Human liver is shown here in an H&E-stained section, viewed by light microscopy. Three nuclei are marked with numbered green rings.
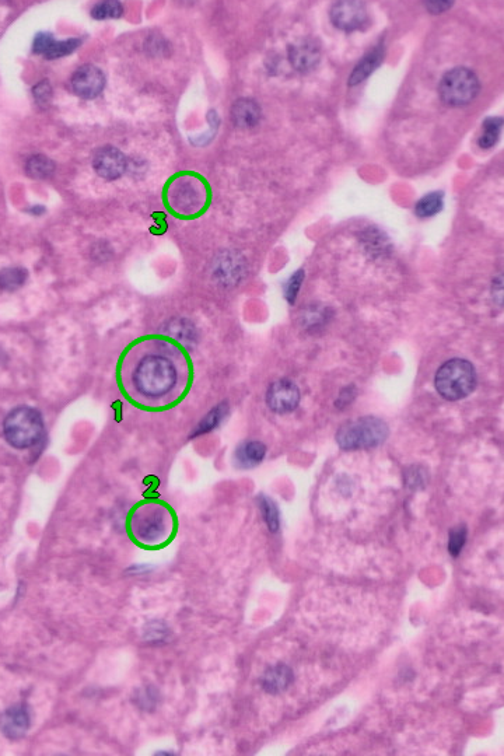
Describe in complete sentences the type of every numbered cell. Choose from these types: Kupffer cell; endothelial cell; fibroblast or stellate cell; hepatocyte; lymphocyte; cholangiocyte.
Cell 1 is a hepatocyte, cell 2 is a Kupffer cell and cell 3 is a hepatocyte.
